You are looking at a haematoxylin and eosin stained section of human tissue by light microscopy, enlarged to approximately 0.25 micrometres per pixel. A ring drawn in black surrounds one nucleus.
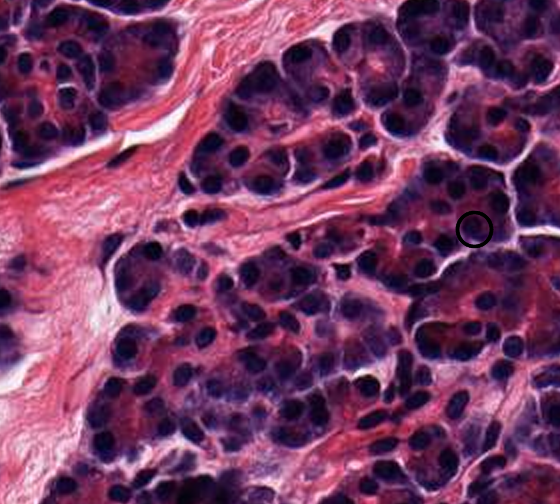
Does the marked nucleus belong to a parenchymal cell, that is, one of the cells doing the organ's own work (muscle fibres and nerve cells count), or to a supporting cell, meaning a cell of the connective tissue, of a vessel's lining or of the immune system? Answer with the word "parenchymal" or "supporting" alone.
parenchymal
